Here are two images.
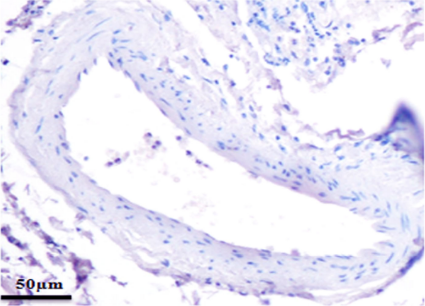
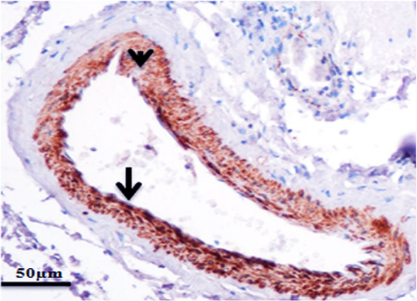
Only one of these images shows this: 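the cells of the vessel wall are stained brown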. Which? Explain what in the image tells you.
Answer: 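The second image. First image: the vessel wall shows only blue nuclei on a pale background, no brown. Second image: the inner thick layer of the vessel wall is intensely brown.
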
